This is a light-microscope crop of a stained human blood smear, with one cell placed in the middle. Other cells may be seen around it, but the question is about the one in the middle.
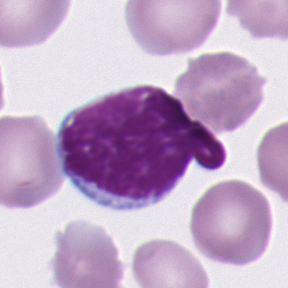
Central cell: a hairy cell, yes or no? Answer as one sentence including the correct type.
No, the cell at the center of this crop is a typical lymphocyte instead of a hairy cell.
